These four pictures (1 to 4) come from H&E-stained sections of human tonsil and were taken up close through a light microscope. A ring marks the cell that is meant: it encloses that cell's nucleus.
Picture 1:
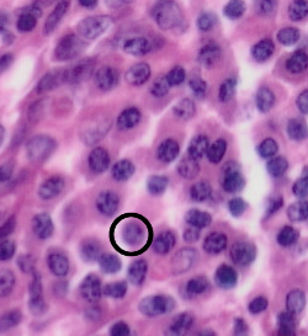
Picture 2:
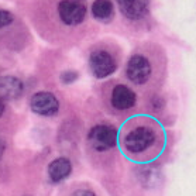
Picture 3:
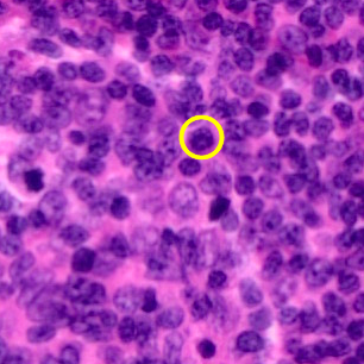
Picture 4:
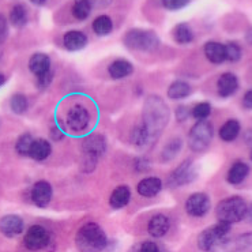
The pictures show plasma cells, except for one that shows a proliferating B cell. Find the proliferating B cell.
3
